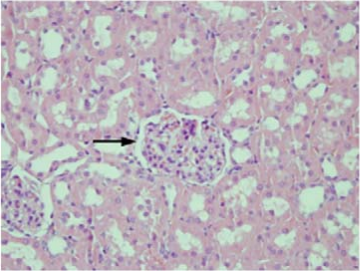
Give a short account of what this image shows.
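This is kidney cortex with a glomerulus in the middle, surrounded by cross-sections of tubules. The glomerulus is a round tuft crowded with dark purple nuclei, held inside a thin capsule with a narrow clear space around the tuft. The tubules around it are lined by cells with pink, granular cytoplasm and round nuclei, and many show open, clear lumens. Another glomerulus can be seen at the lower left edge. The tissue looks orderly, with no bleeding or broken structures.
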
